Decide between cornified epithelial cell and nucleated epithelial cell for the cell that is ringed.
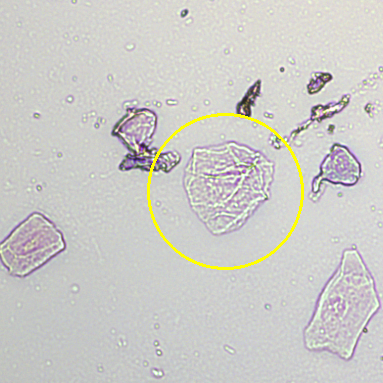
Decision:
I take the ringed cell for a cornified epithelial cell.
